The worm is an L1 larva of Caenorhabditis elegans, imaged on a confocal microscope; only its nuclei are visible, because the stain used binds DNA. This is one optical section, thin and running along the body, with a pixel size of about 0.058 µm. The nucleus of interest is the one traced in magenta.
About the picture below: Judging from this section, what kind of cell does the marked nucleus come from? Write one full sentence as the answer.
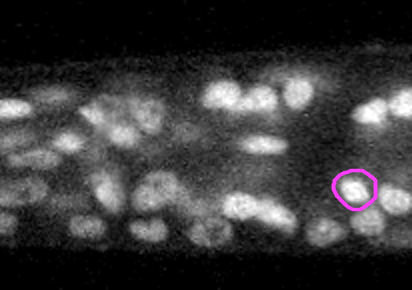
The marked nucleus is that of a GLR cell.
